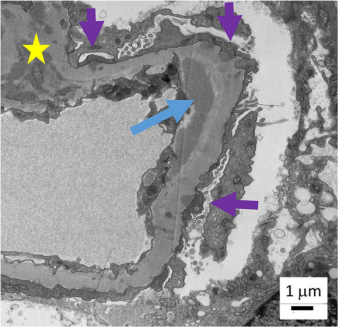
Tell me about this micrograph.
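This electron micrograph shows a glomerular capillary loop with its wall and the neighbouring mesangium. A large lumen fills the left half, holding pale, finely granular material, and is bordered by a dark band of basement membrane. Outside the wall lies a pale, nearly empty space bordered by thin cell processes. At the upper left the capillary walls meet a denser grey region of cells and matrix, the mesangium.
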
